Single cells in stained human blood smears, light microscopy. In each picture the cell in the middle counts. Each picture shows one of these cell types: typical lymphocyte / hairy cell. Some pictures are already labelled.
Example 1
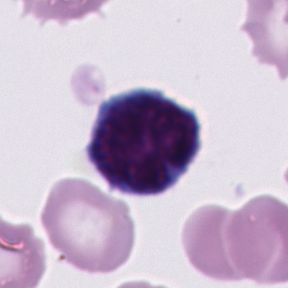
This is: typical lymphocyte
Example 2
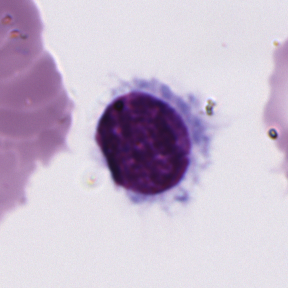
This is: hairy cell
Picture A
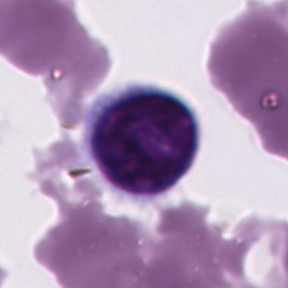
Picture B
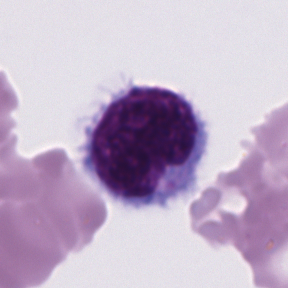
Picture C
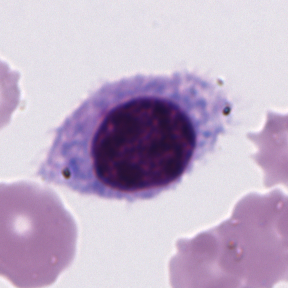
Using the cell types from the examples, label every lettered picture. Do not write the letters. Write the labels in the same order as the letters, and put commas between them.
hairy cell, hairy cell, hairy cell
